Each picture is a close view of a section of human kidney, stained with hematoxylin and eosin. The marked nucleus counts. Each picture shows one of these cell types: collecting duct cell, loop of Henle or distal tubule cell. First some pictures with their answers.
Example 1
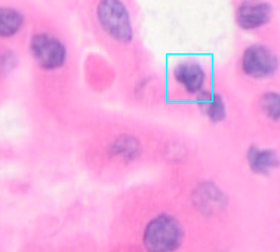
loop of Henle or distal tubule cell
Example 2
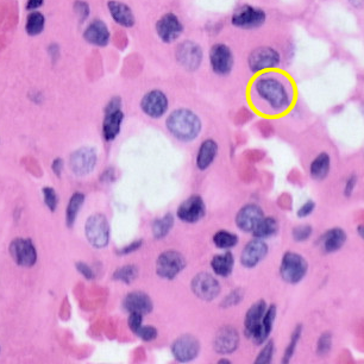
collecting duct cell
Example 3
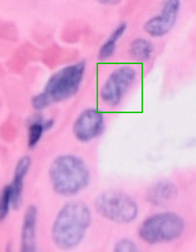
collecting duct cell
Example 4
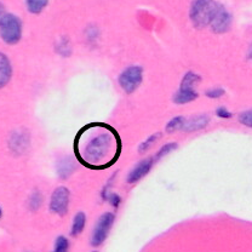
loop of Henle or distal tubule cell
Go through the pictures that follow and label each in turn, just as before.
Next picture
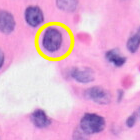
collecting duct cell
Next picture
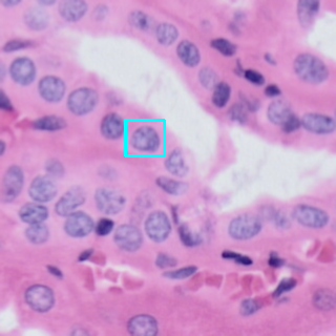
collecting duct cell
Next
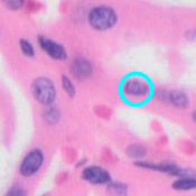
collecting duct cell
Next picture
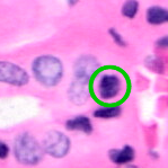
collecting duct cell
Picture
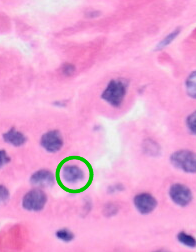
loop of Henle or distal tubule cell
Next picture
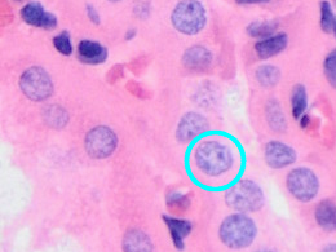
collecting duct cell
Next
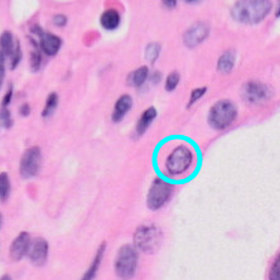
collecting duct cell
